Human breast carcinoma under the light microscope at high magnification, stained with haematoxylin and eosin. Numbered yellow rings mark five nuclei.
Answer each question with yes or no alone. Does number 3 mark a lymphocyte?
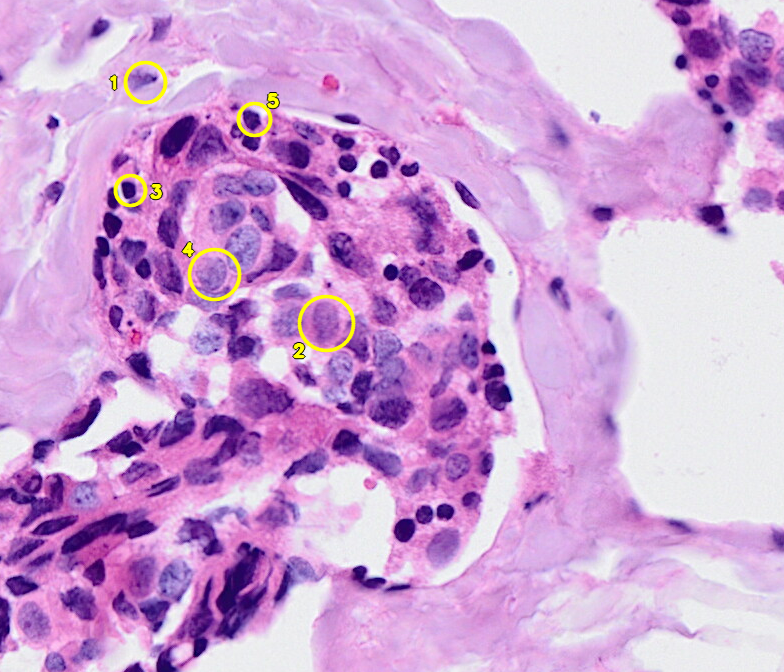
yes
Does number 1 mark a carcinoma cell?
no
